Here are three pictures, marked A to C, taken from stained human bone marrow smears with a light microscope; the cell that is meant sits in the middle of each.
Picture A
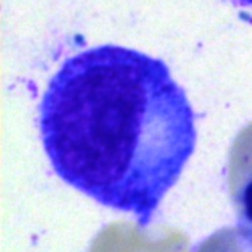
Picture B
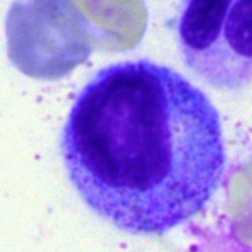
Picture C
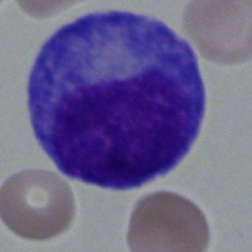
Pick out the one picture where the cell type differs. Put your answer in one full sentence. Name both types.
Picture B is the odd one out: it shows a myelocyte, while the others show promyelocytes.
